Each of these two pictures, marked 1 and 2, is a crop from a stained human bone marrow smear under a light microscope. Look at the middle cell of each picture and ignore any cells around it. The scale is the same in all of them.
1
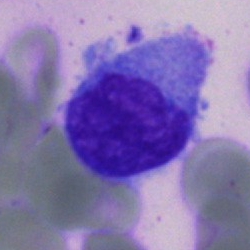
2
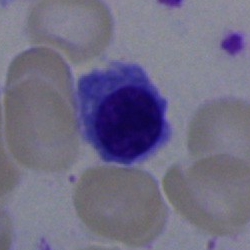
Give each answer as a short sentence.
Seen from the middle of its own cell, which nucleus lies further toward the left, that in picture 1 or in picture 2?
The nucleus in picture 1 lies further toward the left of its cell.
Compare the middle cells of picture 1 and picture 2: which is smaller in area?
The cell in picture 2 is smaller; the one in picture 1 has about 2.5 times its area.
